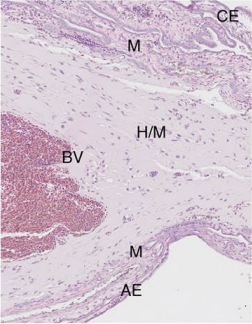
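A large vessel at the left is filled with densely packed, red-staining blood cells. A thin surface epithelium lies along the top right, and a thin cellular layer runs along the lower edge over a band of mesenchyme.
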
